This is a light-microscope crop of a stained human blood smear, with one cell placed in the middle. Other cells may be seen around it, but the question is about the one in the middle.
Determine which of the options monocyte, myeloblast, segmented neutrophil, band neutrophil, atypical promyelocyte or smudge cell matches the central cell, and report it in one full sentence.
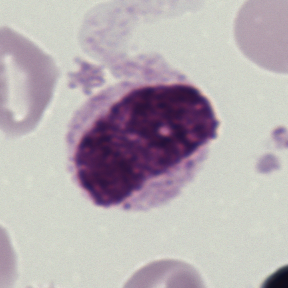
The central cell, amid any neighbouring cells, is a band neutrophil.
